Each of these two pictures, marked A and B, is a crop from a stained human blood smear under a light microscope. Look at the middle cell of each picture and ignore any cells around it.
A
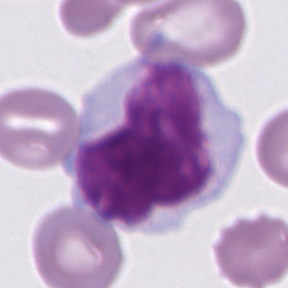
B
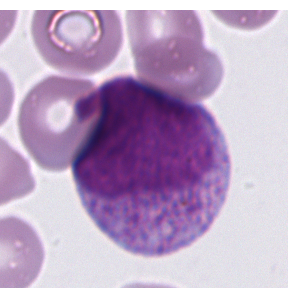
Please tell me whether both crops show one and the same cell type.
no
